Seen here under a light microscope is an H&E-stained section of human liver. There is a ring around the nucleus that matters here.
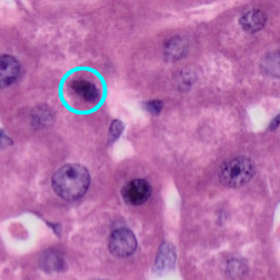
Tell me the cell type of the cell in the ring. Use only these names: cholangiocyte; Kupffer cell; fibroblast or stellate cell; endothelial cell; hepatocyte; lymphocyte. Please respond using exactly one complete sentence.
Cytologically, the cell in the ring is to be regarded as a fibroblast or stellate cell.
